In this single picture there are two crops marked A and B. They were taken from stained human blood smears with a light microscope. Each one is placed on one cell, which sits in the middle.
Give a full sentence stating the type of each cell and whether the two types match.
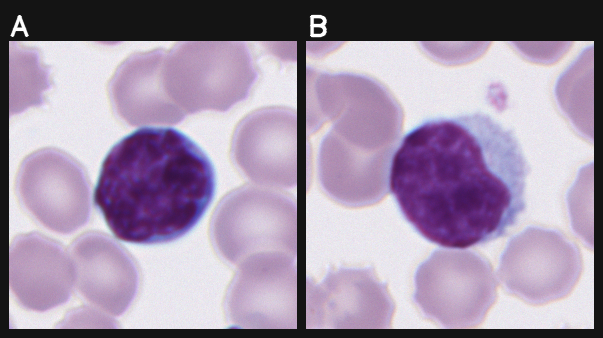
Yes, both crops show typical lymphocytes in their central position.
